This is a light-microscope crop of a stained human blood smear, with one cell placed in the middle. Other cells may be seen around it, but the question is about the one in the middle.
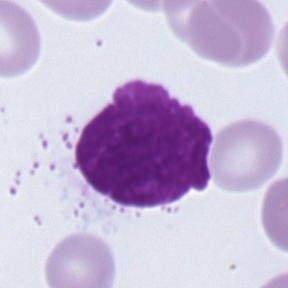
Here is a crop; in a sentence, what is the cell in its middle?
The centrally located cell in the crop is a smudge cell.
